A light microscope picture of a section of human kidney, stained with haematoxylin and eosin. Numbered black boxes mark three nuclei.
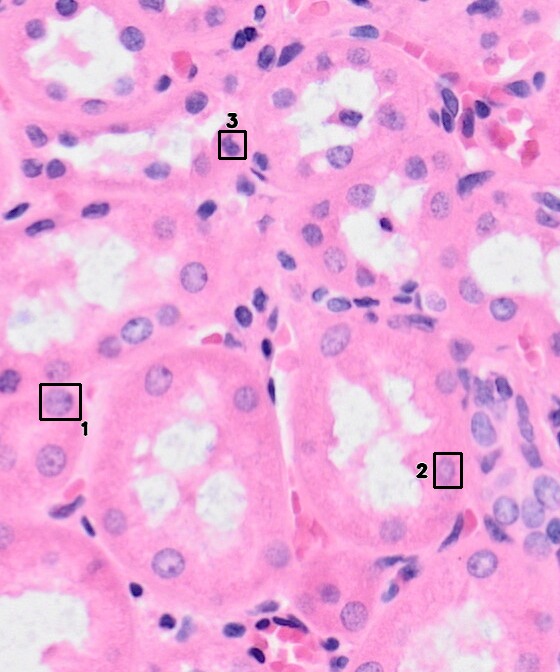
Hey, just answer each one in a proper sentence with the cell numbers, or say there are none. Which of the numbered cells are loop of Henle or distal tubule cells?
Only the cell numbered 3 qualifies as a loop of Henle or distal tubule cell among the marked cells.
